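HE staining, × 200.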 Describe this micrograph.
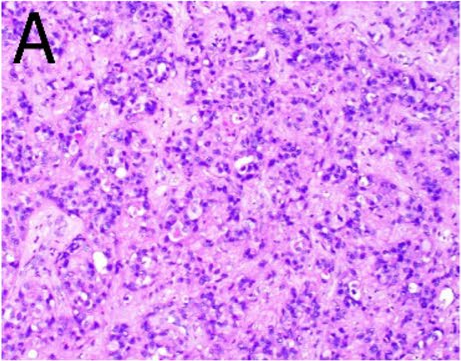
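This is a tumor made of plump epithelioid cells with pink cytoplasm, gathered in small nests and cords within a pale pink stroma. Their nuclei are dark purple, irregular and vary in size and shape from cell to cell. Scattered small clear spaces and slit-like openings lie among the cells, some of them resembling small vessel lumens.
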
